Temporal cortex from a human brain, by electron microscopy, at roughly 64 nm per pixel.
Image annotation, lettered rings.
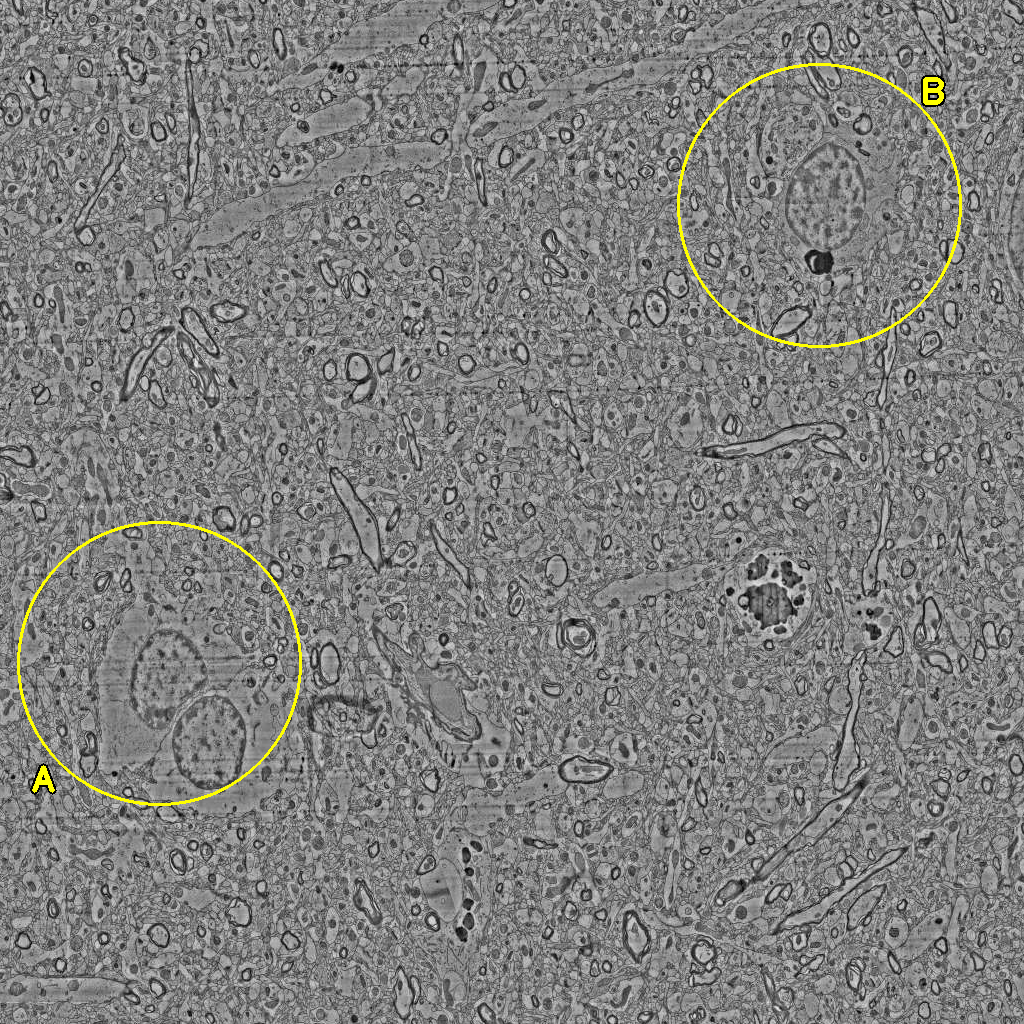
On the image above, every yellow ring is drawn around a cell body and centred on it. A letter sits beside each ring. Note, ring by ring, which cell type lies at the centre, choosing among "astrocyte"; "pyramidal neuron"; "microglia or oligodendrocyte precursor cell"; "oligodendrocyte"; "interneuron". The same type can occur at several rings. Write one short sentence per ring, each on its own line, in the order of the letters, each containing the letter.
Ring A has an astrocyte at its centre.
Ring B has an oligodendrocyte at its centre.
